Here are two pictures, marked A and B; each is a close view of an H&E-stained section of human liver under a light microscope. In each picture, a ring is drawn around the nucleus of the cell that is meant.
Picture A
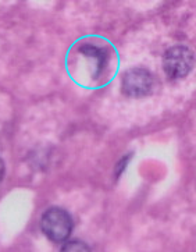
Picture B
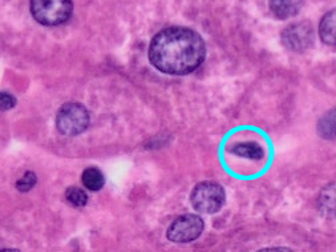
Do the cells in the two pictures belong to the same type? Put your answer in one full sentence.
No. Picture A shows an endothelial cell, but picture B shows a lymphocyte.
